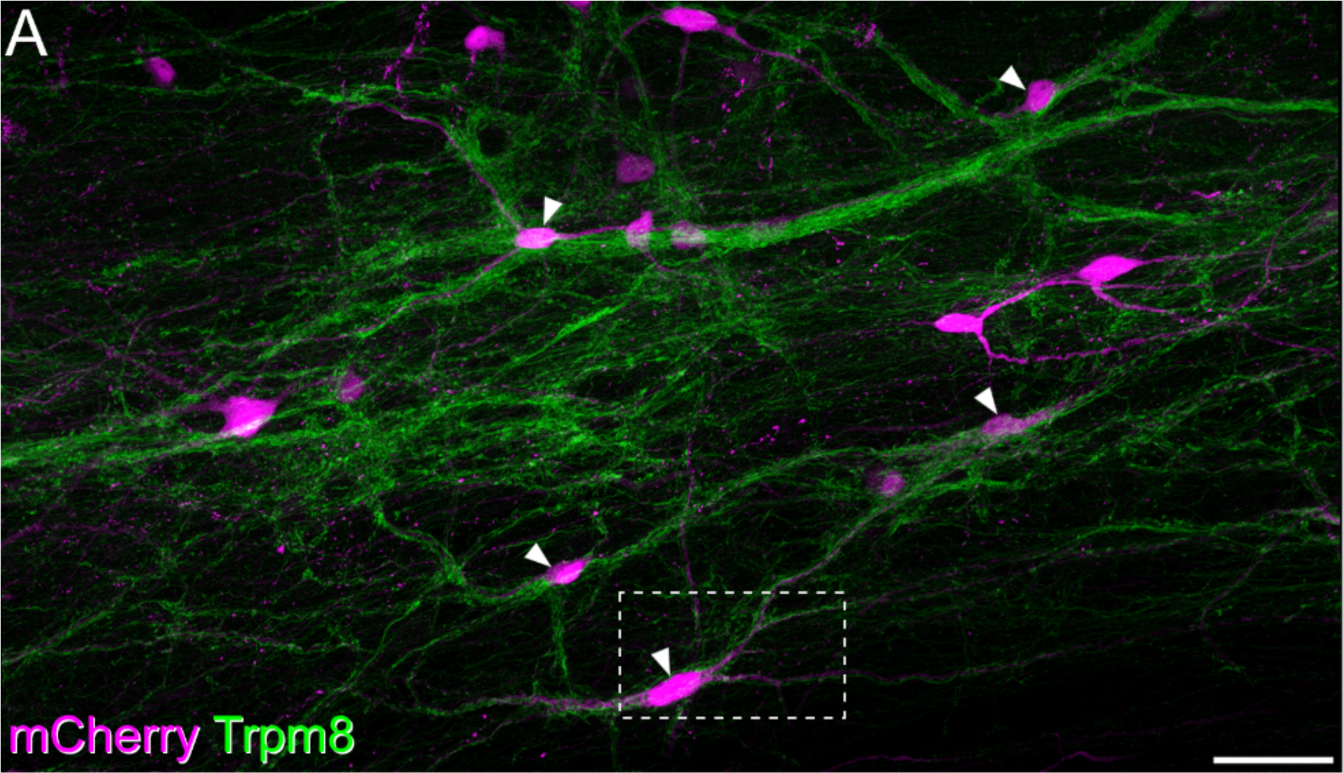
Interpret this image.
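Scattered magenta neuronal cell bodies, mostly fusiform or oval, lie among a dense meshwork of thin green axons running largely in parallel bundles. Several cell bodies give off long thin dendrites extending along the same axis as the fibres, and some of them sit within or beside bundles of green axons that appear to contact the soma.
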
